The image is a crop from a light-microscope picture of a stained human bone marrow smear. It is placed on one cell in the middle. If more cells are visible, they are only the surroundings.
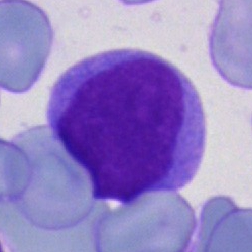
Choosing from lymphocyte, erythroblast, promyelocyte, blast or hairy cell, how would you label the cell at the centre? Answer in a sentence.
The cell positioned in the middle of the field is a blast.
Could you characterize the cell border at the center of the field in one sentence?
You can see a smooth boundary, with no projections sticking out.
